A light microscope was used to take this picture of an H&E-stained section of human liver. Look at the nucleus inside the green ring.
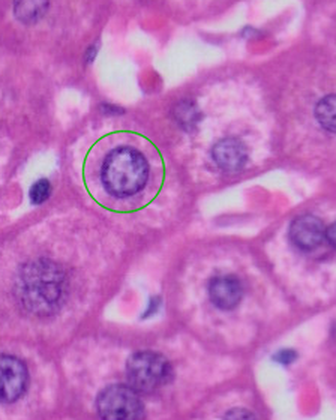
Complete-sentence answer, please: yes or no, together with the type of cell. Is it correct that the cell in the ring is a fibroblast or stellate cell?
No, it is as a hepatocyte, not a fibroblast or stellate cell, that the cell in the ring is classified.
